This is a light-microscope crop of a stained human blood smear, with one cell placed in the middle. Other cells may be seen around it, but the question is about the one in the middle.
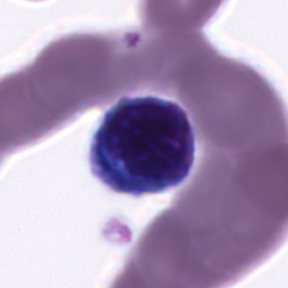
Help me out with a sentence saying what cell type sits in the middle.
For this crop, the cell in the middle is a plasma cell.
